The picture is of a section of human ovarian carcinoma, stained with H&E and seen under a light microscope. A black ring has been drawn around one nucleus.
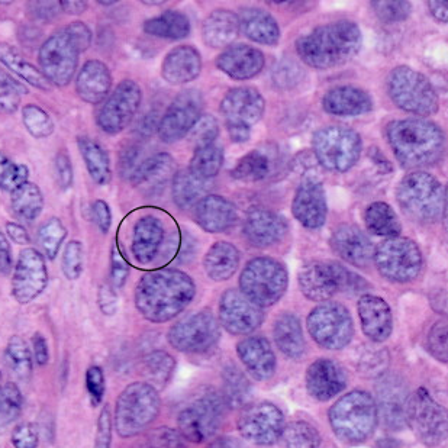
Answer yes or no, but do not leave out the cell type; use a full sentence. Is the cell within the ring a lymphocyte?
No, the cell within the ring is not to be called a lymphocyte; it is a carcinoma cell.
